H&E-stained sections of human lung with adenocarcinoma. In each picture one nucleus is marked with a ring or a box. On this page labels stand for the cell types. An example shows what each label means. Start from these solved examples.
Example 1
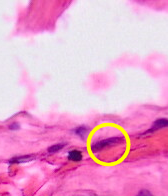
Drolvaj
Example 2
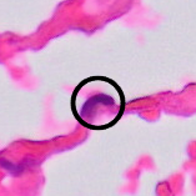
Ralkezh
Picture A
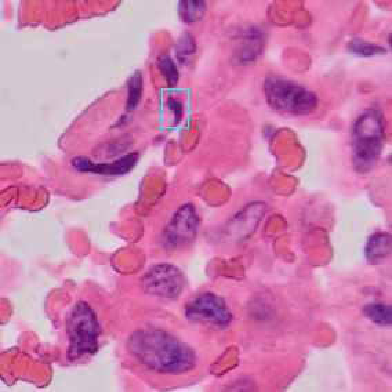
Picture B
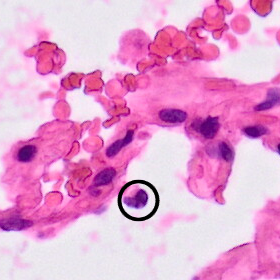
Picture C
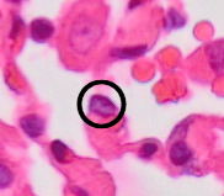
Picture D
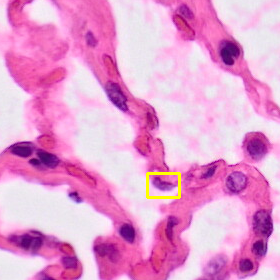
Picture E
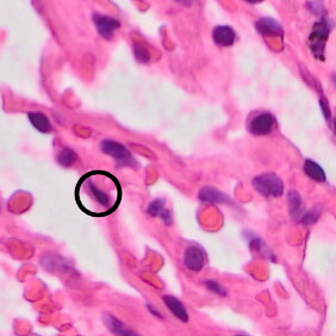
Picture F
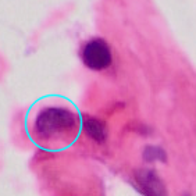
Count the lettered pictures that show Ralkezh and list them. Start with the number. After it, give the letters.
4, namely B, C, D, F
